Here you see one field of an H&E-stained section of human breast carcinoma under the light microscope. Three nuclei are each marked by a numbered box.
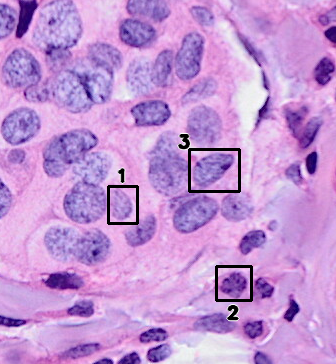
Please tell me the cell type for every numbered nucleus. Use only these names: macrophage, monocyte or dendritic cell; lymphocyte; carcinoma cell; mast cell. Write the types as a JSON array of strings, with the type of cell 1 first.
["carcinoma cell", "macrophage, monocyte or dendritic cell", "carcinoma cell"]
